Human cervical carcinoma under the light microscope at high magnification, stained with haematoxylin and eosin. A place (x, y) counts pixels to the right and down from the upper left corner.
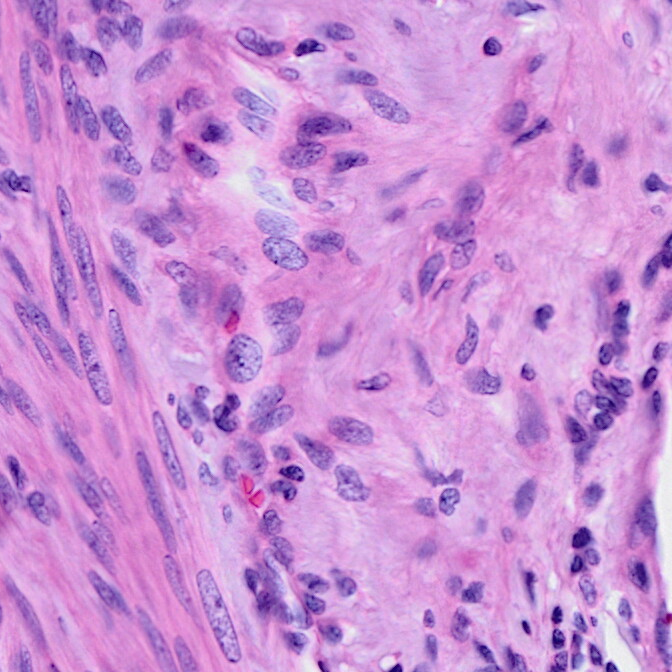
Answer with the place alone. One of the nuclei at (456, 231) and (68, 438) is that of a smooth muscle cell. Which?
(68, 438)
